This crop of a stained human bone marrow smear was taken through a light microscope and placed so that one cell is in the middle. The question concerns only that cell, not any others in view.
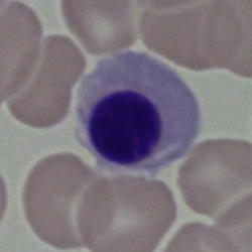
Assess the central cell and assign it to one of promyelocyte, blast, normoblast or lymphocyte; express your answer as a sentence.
The cell featured at the centre of this crop is a normoblast.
